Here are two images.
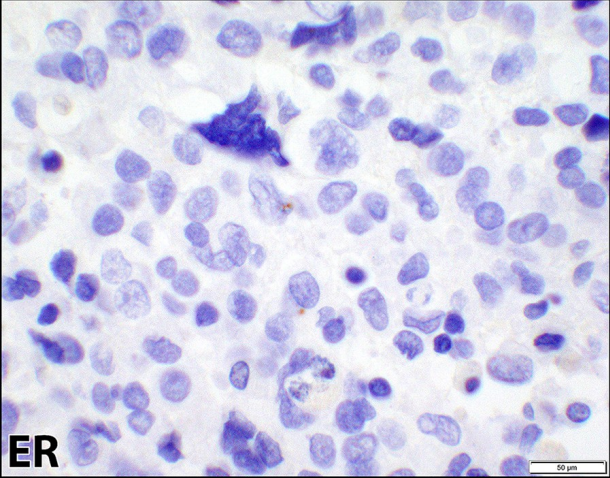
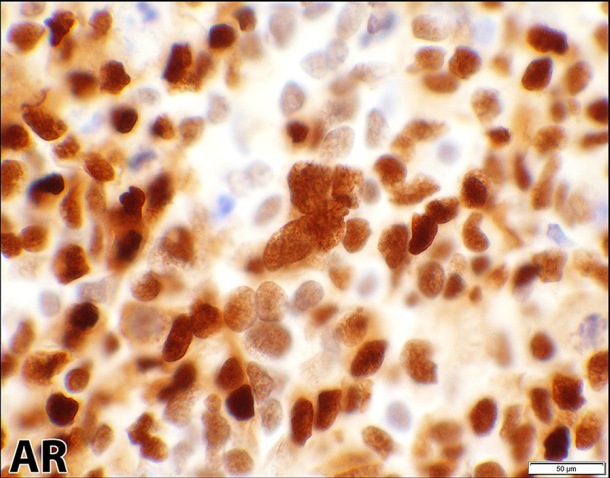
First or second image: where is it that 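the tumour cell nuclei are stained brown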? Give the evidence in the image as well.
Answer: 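First image: tumour cell nuclei are blue only, with no brown stain. Second image: most tumour cell nuclei are stained light to dark brown.
Hence: the second image.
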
